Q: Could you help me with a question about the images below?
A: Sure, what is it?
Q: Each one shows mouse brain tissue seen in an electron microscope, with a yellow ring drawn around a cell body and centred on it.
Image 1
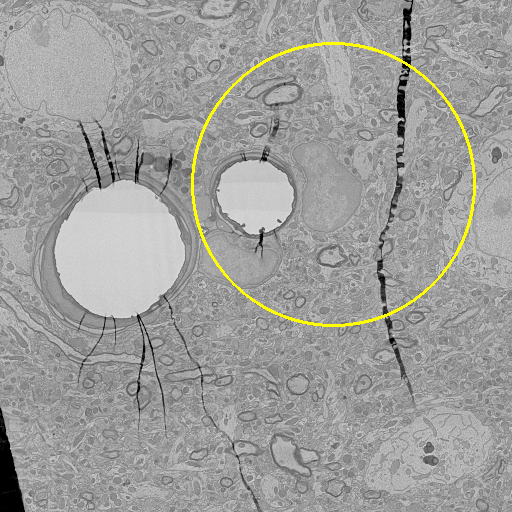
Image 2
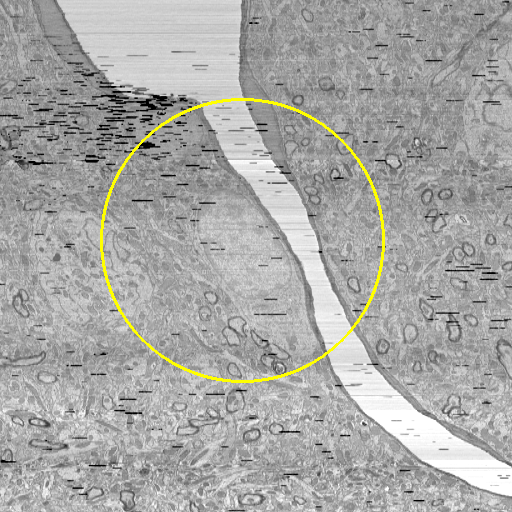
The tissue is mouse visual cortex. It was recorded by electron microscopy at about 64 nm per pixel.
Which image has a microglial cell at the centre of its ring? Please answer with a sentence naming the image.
Image 1 has it at the centre of its ring.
